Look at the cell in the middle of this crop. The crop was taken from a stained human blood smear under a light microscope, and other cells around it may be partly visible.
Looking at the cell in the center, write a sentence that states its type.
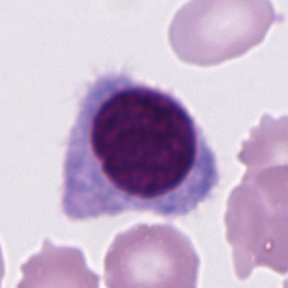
The cell under consideration, at the middle of the crop, is a hairy cell.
